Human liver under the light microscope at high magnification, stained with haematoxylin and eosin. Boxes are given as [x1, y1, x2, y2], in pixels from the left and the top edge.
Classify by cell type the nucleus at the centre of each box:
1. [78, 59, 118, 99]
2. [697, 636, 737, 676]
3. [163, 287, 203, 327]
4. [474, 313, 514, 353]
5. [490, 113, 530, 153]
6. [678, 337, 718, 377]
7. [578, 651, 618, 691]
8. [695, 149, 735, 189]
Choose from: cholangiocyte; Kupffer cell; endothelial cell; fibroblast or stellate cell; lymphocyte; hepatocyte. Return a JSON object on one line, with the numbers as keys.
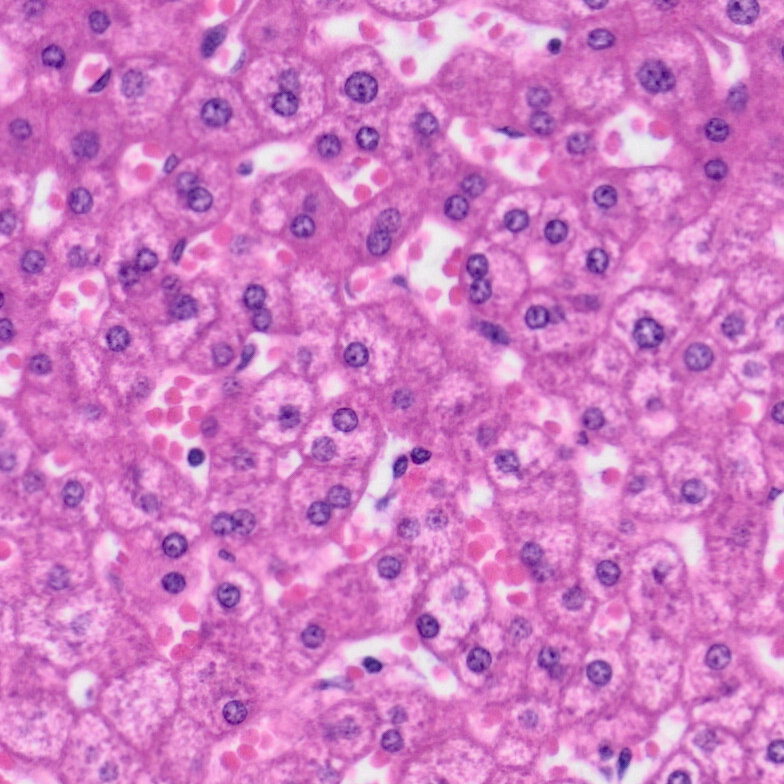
{"1": "endothelial cell", "2": "hepatocyte", "3": "hepatocyte", "4": "fibroblast or stellate cell", "5": "endothelial cell", "6": "hepatocyte", "7": "hepatocyte", "8": "hepatocyte"}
